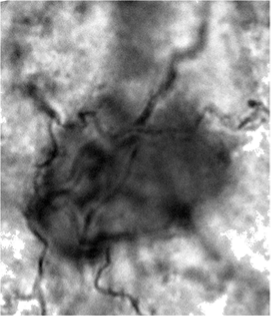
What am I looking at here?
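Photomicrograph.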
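Over and around it run many thin, dark, beaded fibres that cross the soma surface and curve around its edges, forming a basket-like meshwork closely applied to the cell body. Small swellings along these fibres lie against the soma. The surrounding background is pale grey and mostly unstained, with a few more fine fibres running through it.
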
